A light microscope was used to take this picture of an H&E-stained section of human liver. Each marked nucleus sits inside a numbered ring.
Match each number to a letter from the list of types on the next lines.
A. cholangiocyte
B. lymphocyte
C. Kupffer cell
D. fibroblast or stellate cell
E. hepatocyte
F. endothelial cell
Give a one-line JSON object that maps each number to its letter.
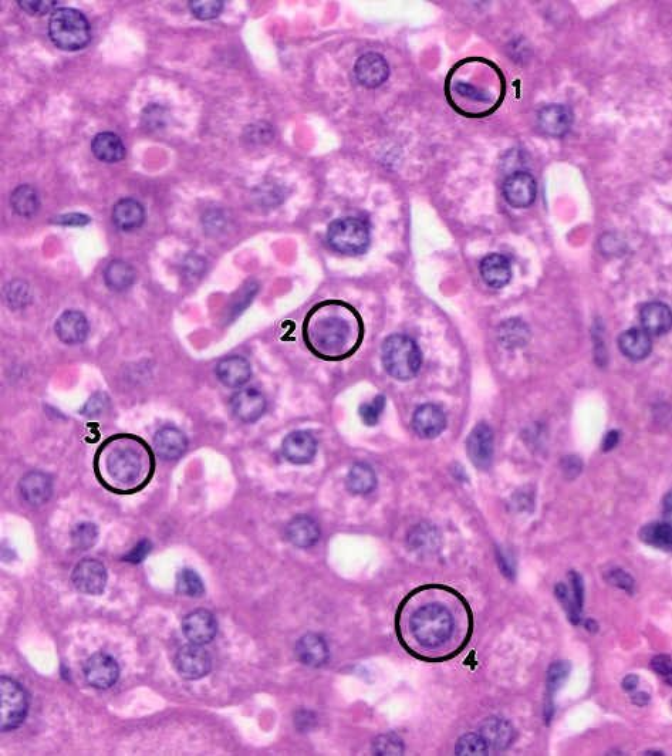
{"1": "F", "2": "E", "3": "E", "4": "E"}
